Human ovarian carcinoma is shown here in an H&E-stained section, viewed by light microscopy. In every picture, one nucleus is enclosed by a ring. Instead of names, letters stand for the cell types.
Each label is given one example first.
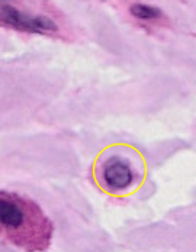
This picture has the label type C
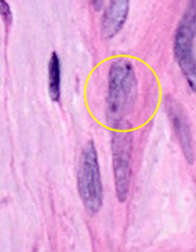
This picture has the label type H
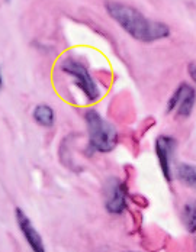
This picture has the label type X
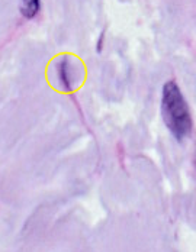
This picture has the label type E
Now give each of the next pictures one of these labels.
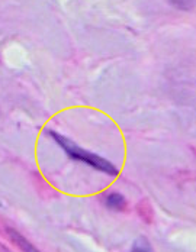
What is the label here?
type E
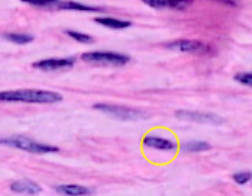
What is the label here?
type H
